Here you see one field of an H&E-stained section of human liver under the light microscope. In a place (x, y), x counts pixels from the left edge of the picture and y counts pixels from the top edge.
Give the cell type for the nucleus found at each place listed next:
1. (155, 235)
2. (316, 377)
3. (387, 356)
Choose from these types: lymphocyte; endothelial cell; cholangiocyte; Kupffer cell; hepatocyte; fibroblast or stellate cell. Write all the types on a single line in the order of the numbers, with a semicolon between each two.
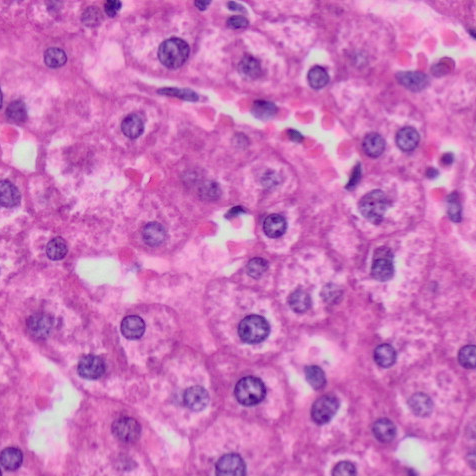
hepatocyte; Kupffer cell; hepatocyte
